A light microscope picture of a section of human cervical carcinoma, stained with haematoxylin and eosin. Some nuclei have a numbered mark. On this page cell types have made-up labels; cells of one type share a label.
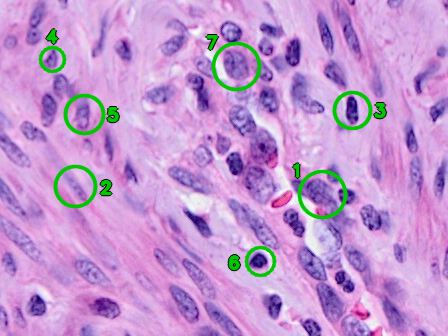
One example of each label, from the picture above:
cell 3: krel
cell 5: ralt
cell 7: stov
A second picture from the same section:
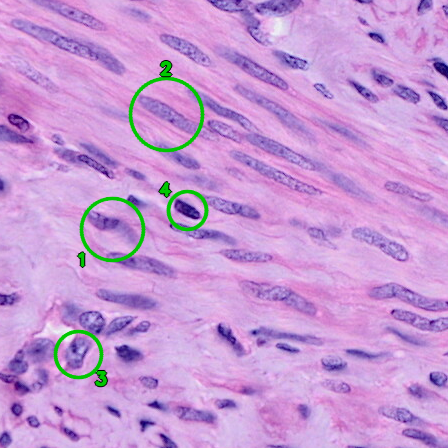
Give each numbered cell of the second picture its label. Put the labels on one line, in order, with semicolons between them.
ralt; ralt; stov; krel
